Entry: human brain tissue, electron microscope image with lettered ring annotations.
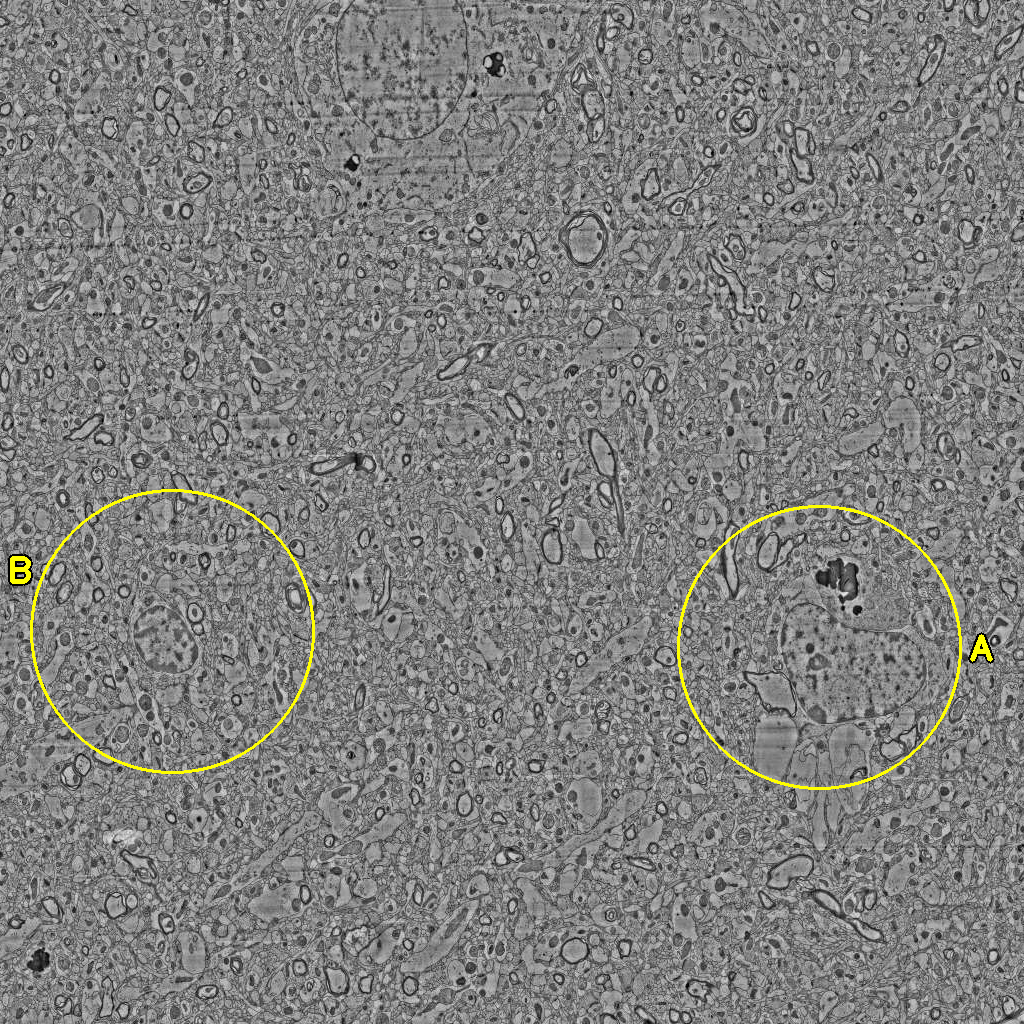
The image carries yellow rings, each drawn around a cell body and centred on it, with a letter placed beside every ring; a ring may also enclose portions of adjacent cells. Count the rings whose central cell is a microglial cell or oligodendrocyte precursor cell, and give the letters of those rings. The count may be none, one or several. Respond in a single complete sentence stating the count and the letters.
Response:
The two rings tagged with the letters A and B are each centred on a microglial cell or oligodendrocyte precursor cell.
